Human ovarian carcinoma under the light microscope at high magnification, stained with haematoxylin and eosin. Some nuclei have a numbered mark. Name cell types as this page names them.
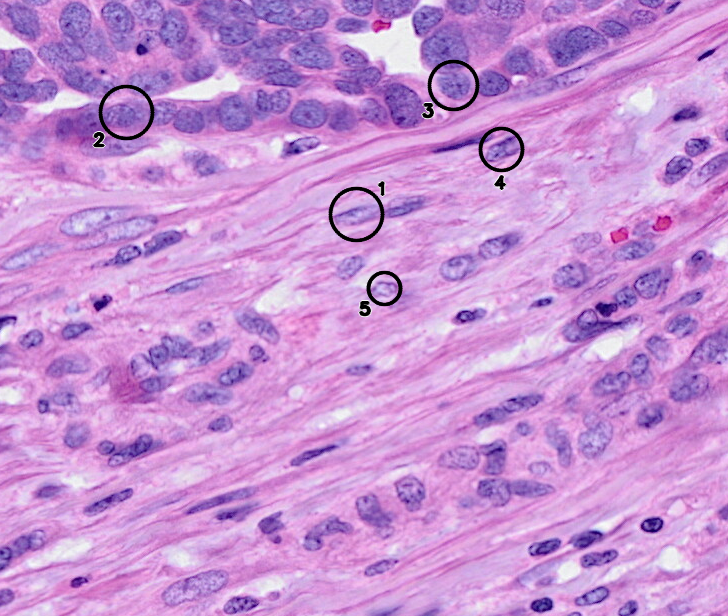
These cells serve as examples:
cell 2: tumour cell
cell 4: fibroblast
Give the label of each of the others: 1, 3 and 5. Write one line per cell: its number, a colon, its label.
1: fibroblast
3: tumour cell
5: fibroblast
